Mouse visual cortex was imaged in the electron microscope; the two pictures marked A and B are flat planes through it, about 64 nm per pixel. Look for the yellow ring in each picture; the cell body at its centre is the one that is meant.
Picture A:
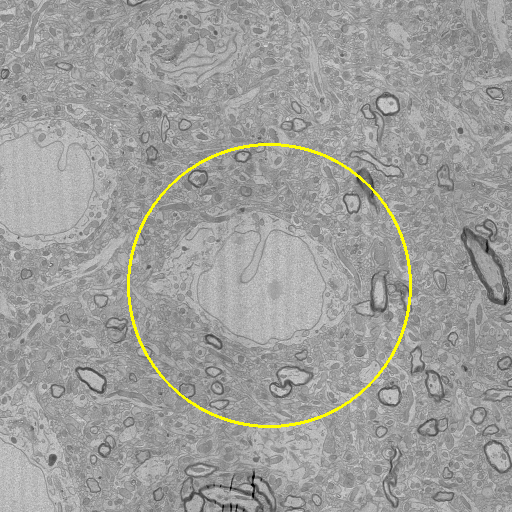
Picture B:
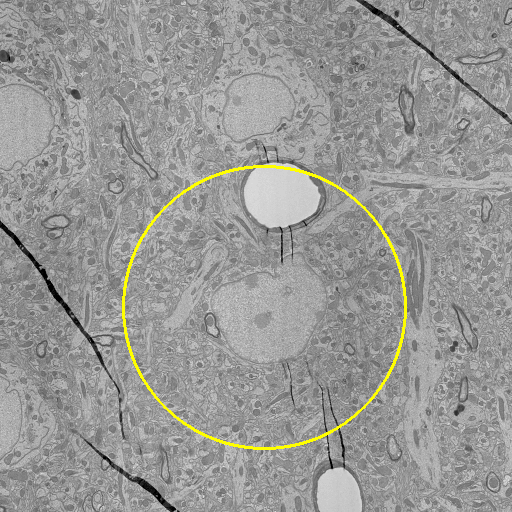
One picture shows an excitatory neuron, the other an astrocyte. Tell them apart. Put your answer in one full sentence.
Picture A is of an excitatory neuron, and picture B is of an astrocyte.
